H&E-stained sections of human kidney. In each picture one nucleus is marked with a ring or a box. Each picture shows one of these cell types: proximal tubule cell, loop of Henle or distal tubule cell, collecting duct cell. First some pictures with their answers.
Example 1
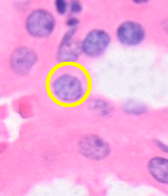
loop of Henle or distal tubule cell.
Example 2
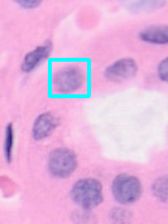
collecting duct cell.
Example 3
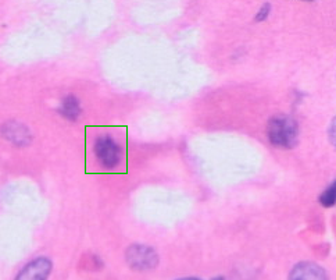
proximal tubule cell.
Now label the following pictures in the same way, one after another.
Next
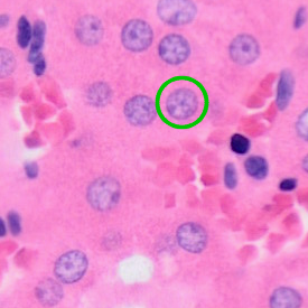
proximal tubule cell.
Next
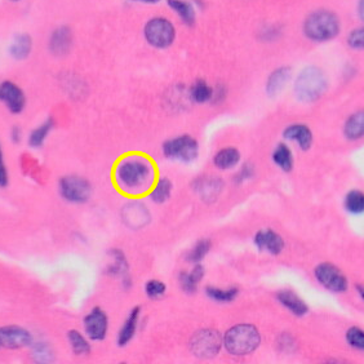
collecting duct cell.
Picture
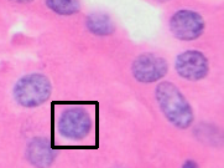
loop of Henle or distal tubule cell.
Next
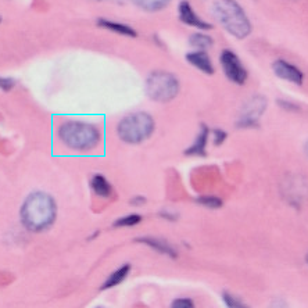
loop of Henle or distal tubule cell.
